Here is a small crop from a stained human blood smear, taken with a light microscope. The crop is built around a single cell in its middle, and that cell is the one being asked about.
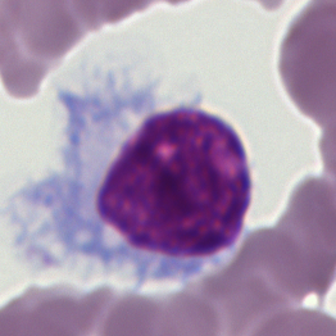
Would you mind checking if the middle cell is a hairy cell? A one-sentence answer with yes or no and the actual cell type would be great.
Yes, the crop's central cell is a hairy cell.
